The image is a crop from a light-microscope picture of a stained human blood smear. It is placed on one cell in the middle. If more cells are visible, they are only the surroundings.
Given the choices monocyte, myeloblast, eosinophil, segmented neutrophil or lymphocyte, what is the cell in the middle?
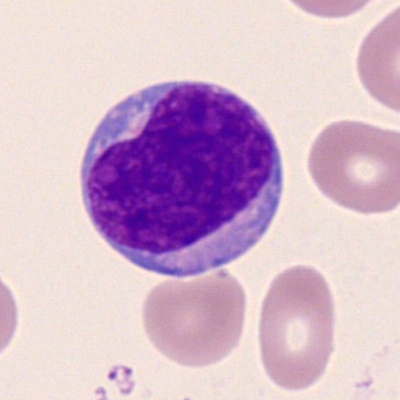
myeloblast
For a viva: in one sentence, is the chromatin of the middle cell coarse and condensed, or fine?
Thanks for asking; the chromatin is coarsely clumped.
